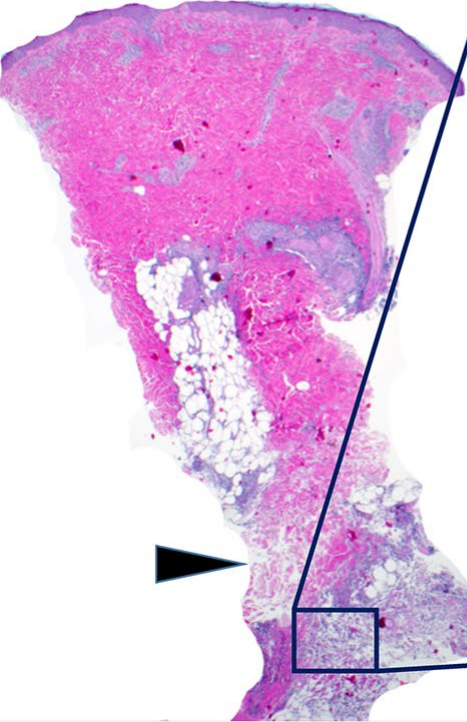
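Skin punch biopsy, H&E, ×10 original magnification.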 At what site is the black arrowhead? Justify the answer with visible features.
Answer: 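Dense pink dermis lies above the level the arrowhead marks. Pale fat lobules and looser tissue lie below. That points to this answer: dermal/subcutaneous junction.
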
